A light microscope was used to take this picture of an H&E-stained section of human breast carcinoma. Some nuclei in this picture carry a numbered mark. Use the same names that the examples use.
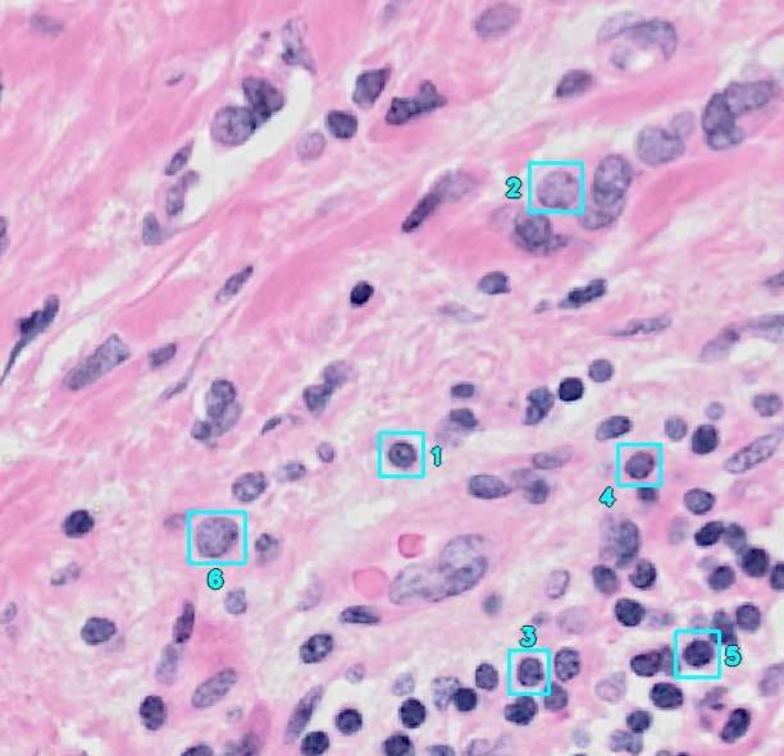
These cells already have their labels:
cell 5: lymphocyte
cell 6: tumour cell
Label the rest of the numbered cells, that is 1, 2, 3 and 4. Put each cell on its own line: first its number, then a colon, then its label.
1: lymphocyte
2: tumour cell
3: lymphocyte
4: lymphocyte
